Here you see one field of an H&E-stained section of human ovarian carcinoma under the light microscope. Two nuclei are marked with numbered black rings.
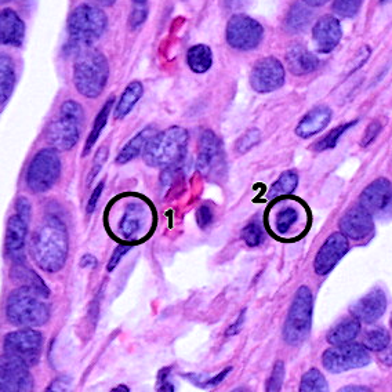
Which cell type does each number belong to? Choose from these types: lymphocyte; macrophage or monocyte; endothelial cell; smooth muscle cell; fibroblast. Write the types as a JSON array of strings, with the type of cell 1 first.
["fibroblast", "lymphocyte"]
